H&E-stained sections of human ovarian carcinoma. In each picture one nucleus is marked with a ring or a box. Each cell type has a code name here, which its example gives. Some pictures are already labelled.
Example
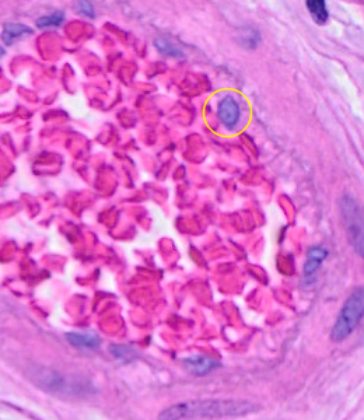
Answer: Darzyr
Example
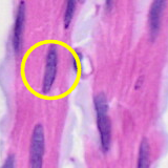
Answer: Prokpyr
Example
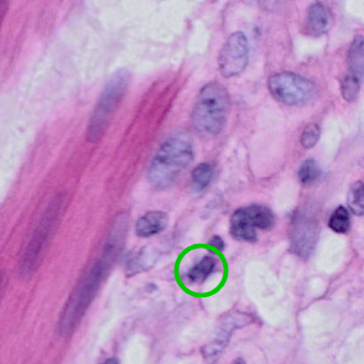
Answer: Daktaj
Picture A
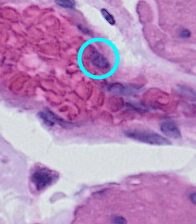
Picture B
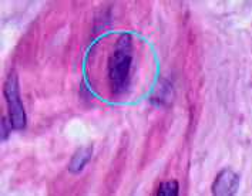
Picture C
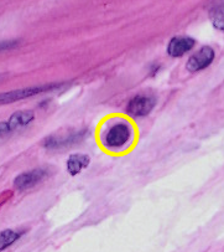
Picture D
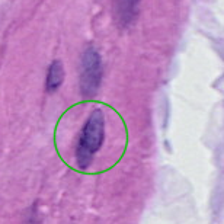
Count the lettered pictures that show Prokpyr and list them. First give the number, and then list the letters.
2, namely B, D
